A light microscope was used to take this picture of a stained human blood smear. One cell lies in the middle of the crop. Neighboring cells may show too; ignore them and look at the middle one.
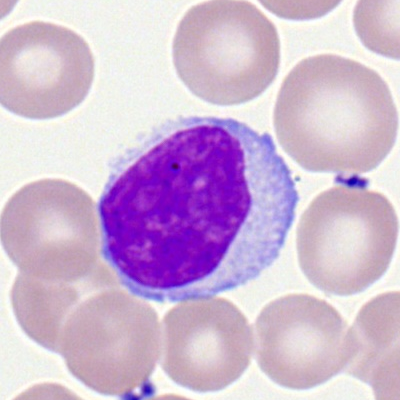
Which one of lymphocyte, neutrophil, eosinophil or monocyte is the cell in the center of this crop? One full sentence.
The cell at the central position in this crop is a lymphocyte.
